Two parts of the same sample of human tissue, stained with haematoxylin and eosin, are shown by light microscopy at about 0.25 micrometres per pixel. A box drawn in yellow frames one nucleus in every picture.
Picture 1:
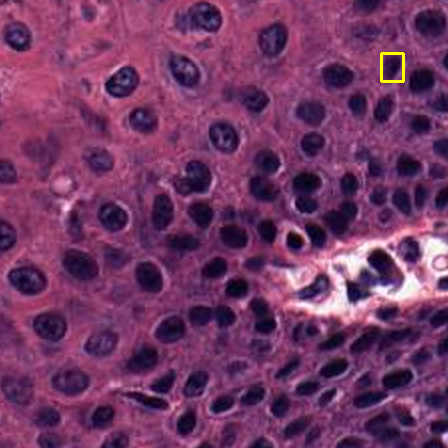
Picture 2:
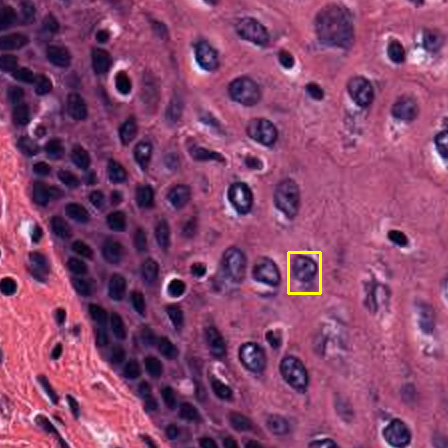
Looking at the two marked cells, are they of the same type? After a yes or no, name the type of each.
Yes, both are squamous epithelial cells.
